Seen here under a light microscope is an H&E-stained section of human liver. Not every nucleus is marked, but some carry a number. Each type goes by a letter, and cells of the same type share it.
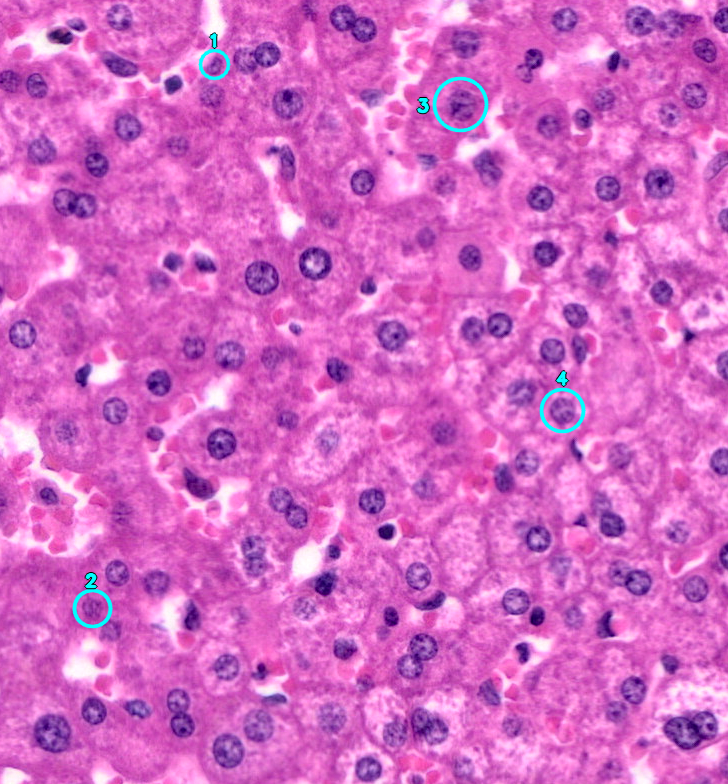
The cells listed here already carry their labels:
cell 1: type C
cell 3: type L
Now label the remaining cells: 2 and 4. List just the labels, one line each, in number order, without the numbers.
type L
type L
